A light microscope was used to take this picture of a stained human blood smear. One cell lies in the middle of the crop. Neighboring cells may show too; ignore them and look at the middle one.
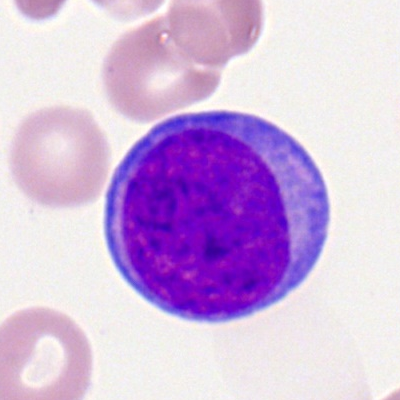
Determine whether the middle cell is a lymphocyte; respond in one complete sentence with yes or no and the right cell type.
No, the central cell isn't a lymphocyte, but a blast.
